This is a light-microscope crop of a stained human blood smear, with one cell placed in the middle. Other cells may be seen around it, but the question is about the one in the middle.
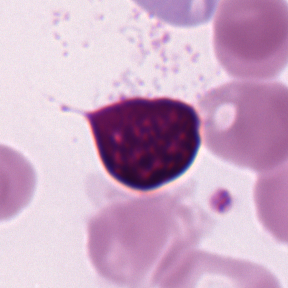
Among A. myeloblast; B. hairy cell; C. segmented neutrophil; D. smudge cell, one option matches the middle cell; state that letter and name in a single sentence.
It is a smudge cell that occupies the centre of the crop, so option D is correct.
